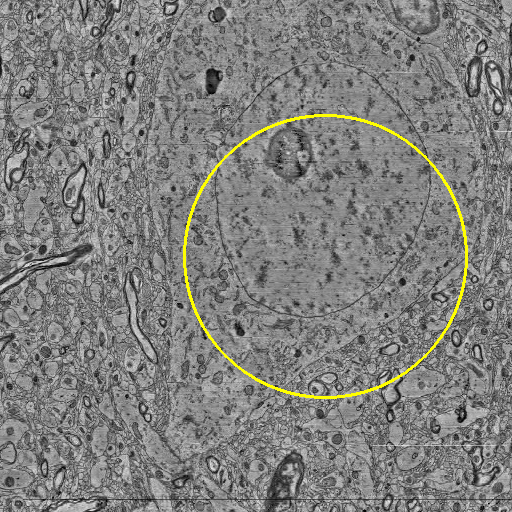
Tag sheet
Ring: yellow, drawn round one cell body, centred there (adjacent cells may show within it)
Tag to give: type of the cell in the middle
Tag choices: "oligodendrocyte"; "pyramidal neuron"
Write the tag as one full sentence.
I tag the cell centred in the yellow ring as a pyramidal neuron in this picture.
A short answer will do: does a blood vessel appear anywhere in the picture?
No, none appears.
